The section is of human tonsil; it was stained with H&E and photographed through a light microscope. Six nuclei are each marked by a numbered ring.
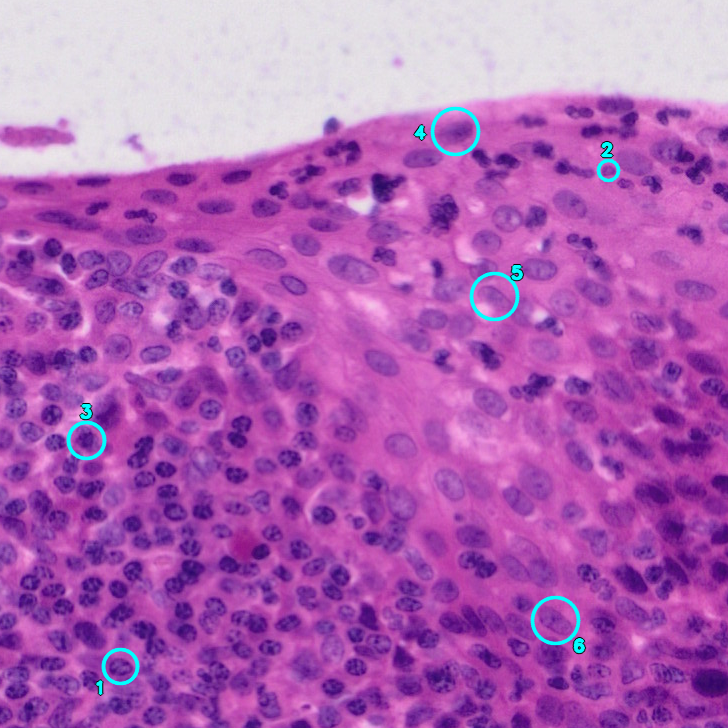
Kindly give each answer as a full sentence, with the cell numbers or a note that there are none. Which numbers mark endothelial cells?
No numbered nucleus belongs to one of the endothelial cells.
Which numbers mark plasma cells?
Into the category of plasma cells fall the cells numbered 1 and 3.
